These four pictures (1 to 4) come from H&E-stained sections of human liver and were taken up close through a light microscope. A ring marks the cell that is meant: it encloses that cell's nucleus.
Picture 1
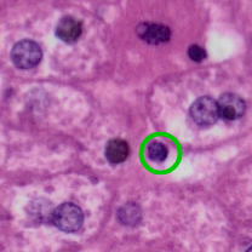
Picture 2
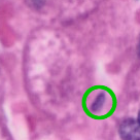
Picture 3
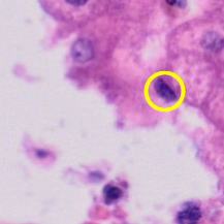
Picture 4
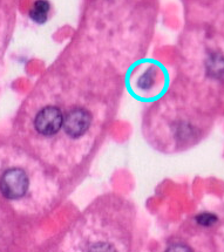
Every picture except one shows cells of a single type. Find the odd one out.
3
